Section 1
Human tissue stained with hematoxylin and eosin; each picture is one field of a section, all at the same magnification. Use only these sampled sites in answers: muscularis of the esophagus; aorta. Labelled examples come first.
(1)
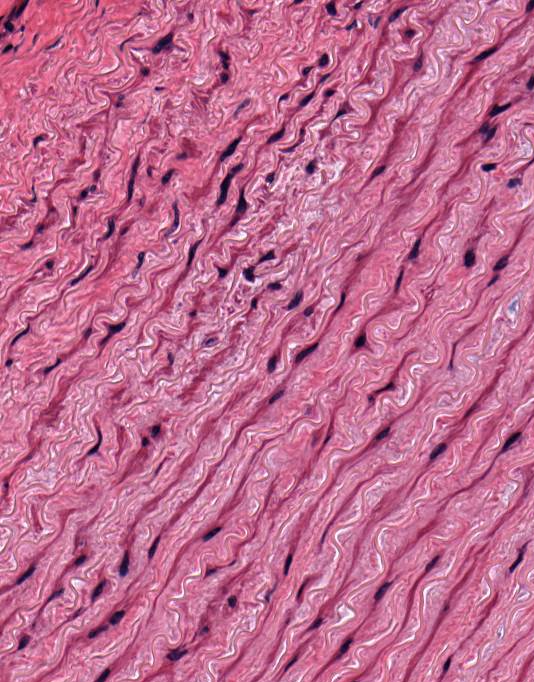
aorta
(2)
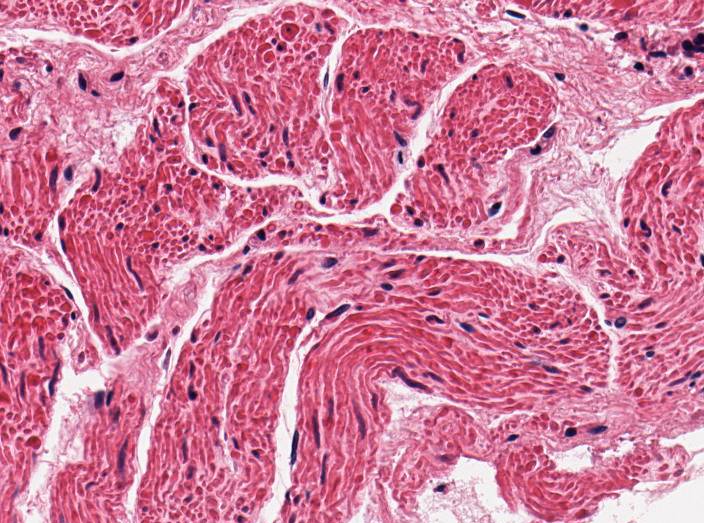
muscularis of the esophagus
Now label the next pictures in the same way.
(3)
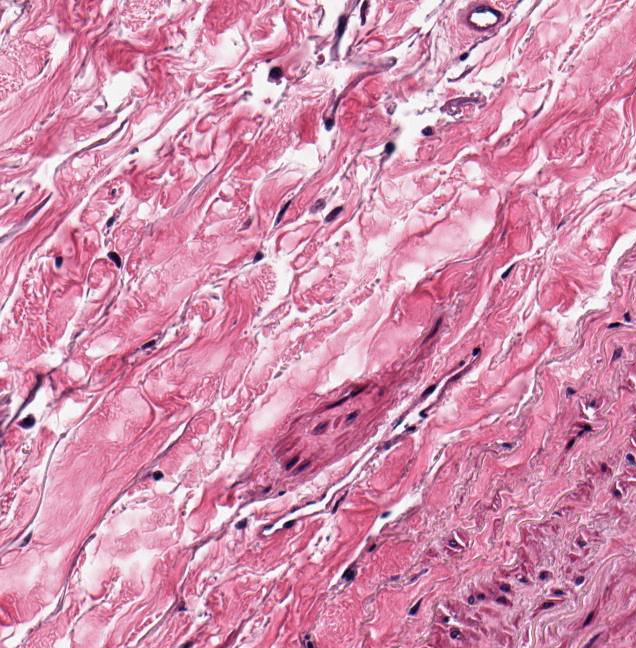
aorta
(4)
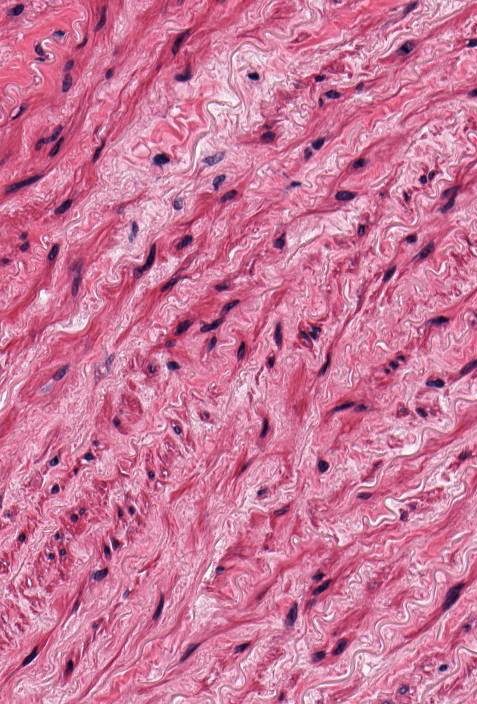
aorta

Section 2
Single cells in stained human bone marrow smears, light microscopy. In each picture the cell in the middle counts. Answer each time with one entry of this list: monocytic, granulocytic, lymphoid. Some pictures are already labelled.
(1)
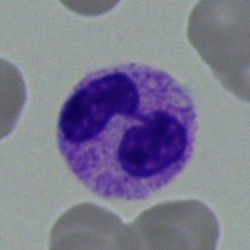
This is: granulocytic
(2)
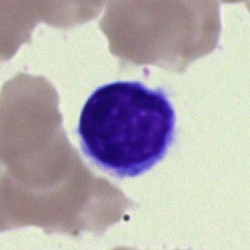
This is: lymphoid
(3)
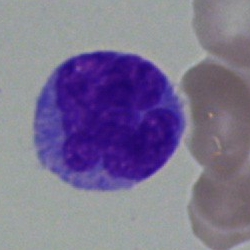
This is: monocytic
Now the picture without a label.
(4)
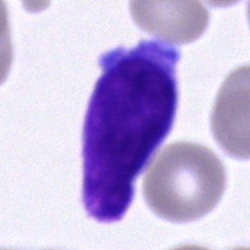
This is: lymphoid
